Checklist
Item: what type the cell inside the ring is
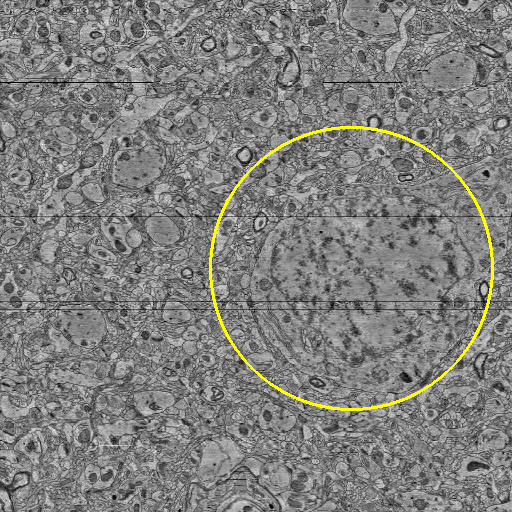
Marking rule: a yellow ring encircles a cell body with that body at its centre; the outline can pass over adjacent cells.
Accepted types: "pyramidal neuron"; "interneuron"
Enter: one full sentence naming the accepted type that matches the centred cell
The entry is that an interneuron lies at the centre of the yellow ring.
